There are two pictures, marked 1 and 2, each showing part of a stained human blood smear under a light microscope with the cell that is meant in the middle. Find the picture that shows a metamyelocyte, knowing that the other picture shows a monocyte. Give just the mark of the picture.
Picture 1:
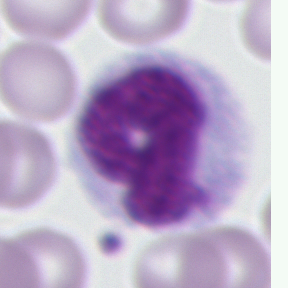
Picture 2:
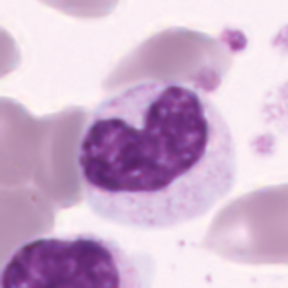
2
